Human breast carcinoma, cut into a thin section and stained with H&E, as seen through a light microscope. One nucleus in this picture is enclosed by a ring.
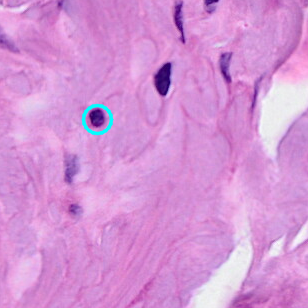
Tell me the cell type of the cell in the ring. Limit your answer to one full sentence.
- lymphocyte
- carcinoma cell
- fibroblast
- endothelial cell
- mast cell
Assigned to a cell type, the cell in the ring is a mast cell.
